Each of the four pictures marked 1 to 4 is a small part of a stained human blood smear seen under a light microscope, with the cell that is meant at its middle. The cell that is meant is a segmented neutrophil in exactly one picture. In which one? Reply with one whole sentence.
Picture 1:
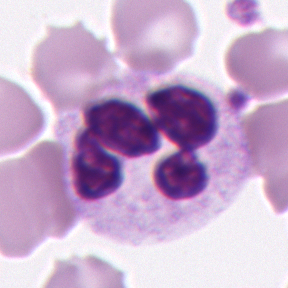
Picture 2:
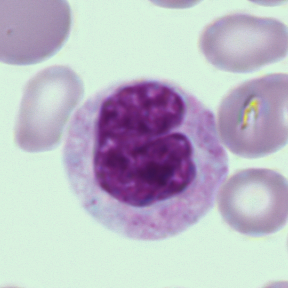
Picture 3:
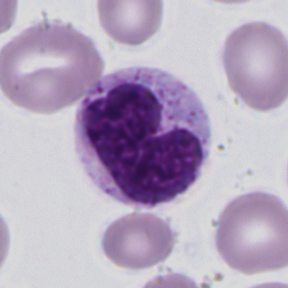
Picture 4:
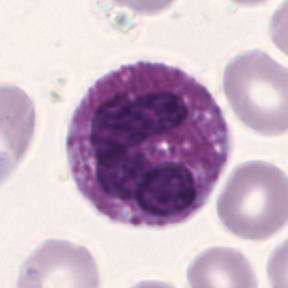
The segmented neutrophil is the one in picture 1.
